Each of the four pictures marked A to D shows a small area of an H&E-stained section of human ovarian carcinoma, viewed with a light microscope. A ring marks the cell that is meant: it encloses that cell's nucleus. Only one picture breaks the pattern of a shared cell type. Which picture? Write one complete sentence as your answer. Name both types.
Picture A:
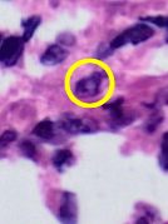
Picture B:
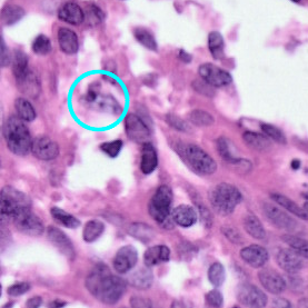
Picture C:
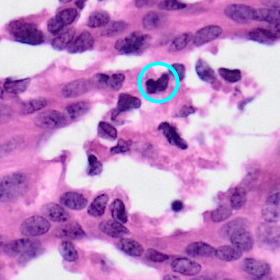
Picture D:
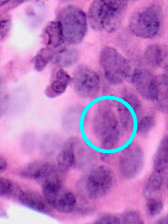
Picture D differs, because its cell is a carcinoma cell and the rest are “macrophages or monocytes”.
